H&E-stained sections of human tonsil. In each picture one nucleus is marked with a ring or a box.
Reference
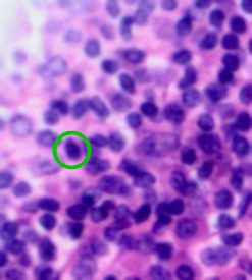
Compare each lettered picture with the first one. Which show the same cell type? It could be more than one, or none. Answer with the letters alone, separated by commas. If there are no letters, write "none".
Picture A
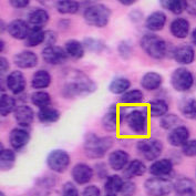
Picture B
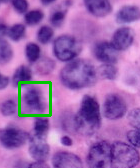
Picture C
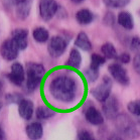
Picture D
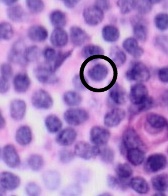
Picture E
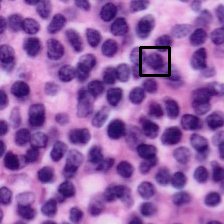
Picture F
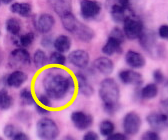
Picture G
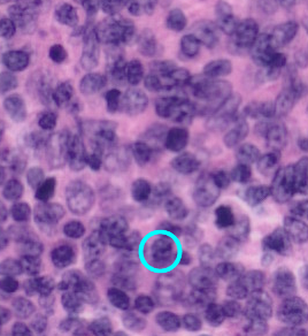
A, D, E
